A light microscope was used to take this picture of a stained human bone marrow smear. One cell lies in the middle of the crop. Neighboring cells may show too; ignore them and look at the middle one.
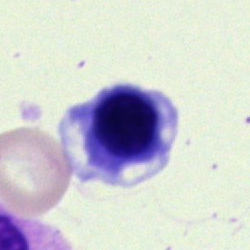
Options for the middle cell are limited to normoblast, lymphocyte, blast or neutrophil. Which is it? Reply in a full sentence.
The cell in the exact centre of the crop is a normoblast.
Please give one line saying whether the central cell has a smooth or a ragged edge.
The cell shows an uneven border, formed by ragged areas or by outward projections.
